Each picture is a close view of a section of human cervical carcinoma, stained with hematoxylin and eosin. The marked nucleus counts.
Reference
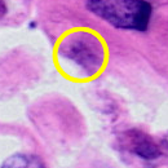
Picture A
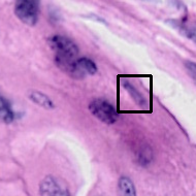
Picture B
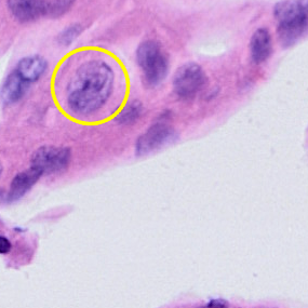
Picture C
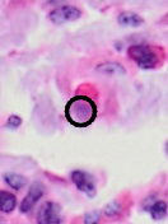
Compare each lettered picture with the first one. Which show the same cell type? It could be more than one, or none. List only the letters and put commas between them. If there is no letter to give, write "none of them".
A, B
